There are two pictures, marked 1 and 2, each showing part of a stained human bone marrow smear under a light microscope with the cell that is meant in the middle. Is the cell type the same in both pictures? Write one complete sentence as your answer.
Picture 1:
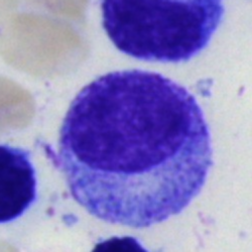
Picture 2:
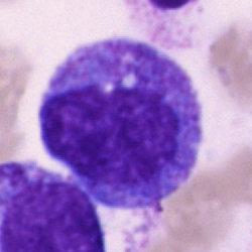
Yes, both cells are promyelocytes.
